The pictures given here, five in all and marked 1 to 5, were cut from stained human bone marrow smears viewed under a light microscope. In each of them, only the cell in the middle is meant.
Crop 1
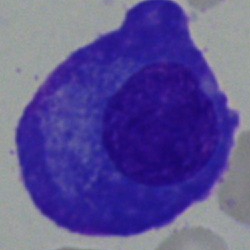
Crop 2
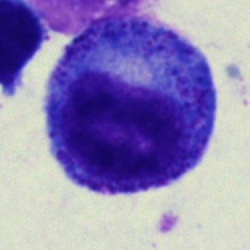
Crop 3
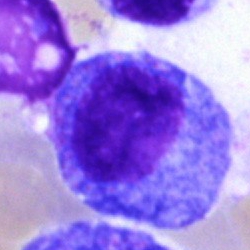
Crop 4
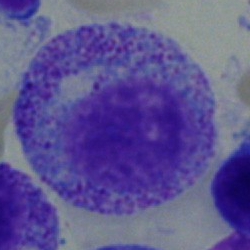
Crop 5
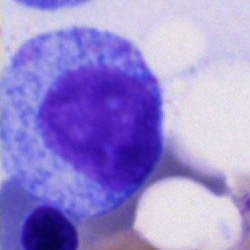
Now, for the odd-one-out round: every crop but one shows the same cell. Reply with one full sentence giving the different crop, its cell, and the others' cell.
Only one crop differs, namely crop 1, which is a plasma cell; the others show promyelocytes.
